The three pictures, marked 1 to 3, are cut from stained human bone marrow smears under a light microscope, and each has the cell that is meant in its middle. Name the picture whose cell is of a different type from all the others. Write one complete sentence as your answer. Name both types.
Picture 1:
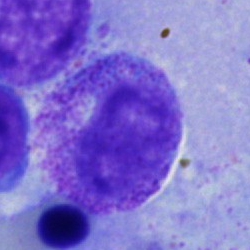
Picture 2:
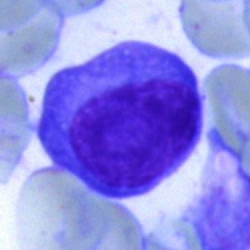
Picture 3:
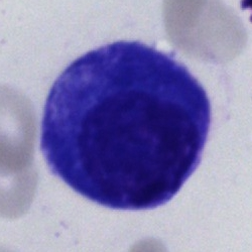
Picture 1 is the odd one out: it shows a myelocyte, while the others show plasma cells.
